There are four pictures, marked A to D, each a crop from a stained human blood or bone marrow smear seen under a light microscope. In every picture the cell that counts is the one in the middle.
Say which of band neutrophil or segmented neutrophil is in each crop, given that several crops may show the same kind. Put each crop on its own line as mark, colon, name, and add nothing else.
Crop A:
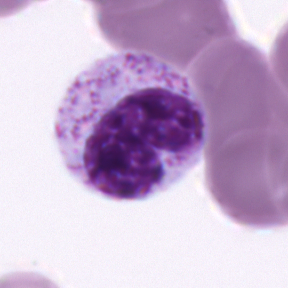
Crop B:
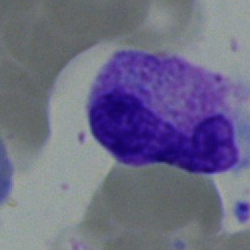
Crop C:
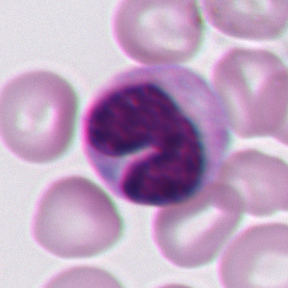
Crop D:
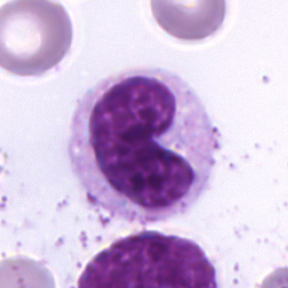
A: band neutrophil
B: band neutrophil
C: segmented neutrophil
D: band neutrophil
